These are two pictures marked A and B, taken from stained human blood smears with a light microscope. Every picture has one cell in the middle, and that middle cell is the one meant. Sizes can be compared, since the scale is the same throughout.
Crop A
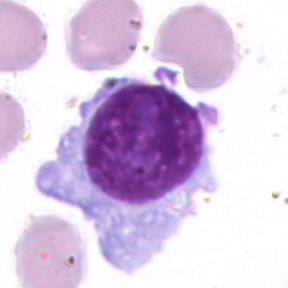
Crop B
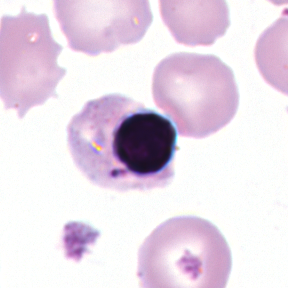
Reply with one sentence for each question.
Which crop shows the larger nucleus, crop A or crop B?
The nucleus in crop A is larger, with about 4 times the area of the one in crop B.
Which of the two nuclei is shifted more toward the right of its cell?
It is the nucleus in crop B that lies further toward the right of its cell.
